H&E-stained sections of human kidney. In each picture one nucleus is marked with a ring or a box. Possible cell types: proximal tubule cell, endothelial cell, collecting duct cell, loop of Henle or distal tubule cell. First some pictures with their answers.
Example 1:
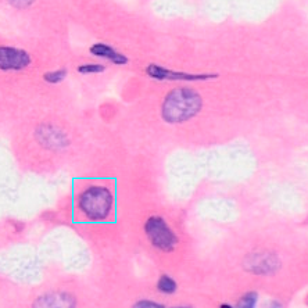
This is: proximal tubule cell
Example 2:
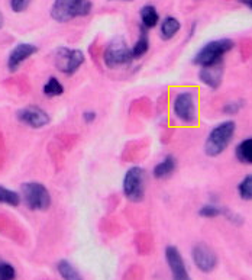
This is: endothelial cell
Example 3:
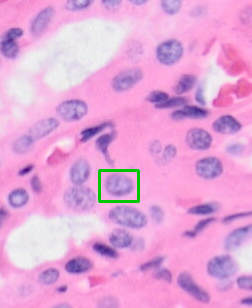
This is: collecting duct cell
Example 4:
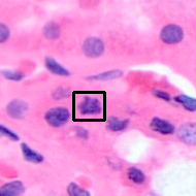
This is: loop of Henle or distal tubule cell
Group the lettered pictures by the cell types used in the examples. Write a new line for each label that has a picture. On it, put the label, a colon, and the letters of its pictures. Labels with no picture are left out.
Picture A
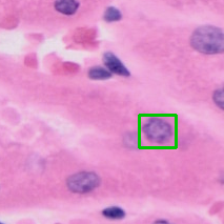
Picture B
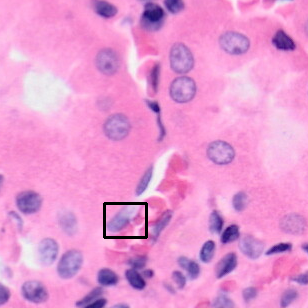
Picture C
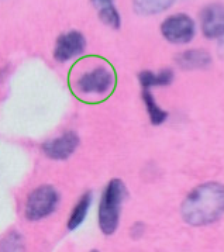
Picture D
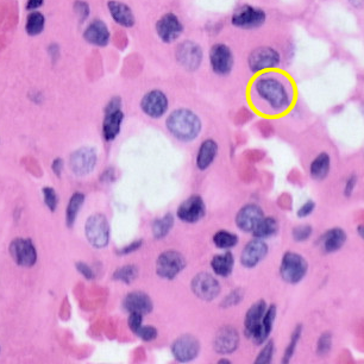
proximal tubule cell: A
endothelial cell: B
collecting duct cell: D
loop of Henle or distal tubule cell: C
